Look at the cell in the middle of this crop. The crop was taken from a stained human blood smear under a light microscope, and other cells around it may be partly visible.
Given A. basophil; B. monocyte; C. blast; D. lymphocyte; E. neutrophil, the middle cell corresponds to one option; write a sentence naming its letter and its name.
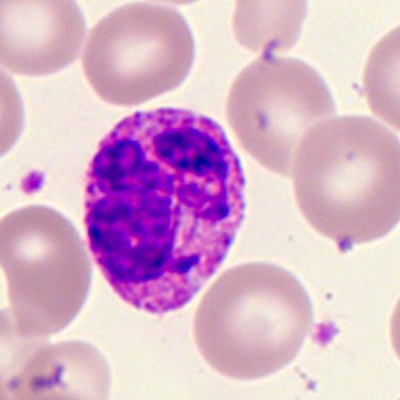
Option A holds up: the cell in the middle is a basophil.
